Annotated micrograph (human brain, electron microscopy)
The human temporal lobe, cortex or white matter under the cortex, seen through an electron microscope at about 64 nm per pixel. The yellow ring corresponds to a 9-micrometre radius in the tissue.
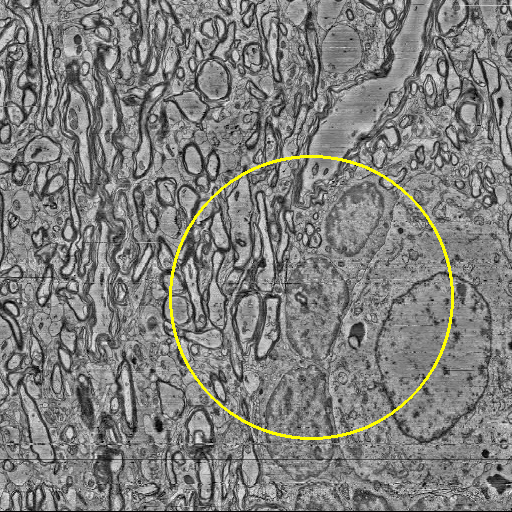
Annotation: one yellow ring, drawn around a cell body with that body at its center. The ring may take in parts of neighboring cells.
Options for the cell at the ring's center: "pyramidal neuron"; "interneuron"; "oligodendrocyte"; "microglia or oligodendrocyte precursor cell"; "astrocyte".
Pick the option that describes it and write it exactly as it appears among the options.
oligodendrocyte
